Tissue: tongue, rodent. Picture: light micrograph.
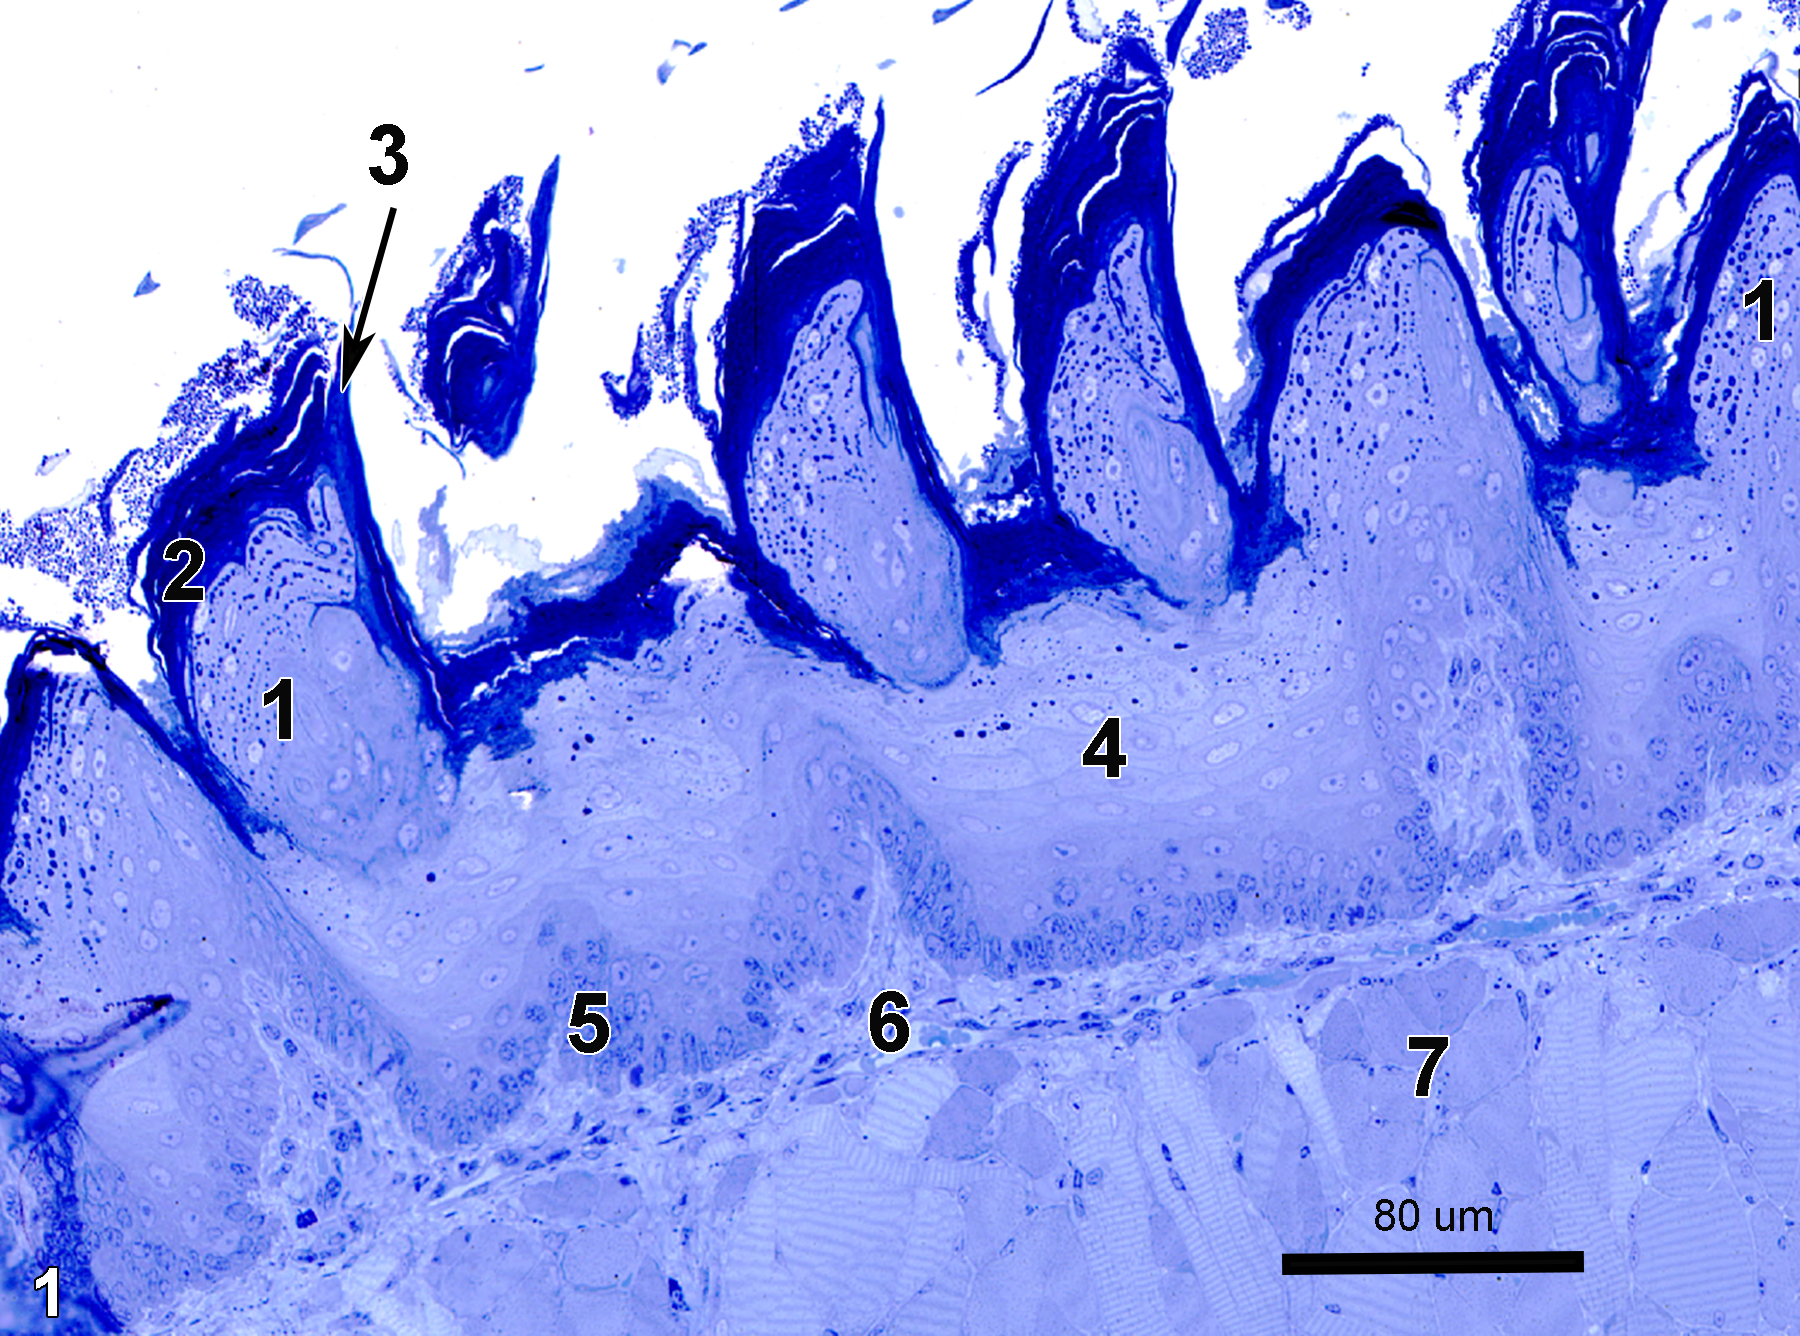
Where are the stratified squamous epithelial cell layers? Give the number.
Number 4.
